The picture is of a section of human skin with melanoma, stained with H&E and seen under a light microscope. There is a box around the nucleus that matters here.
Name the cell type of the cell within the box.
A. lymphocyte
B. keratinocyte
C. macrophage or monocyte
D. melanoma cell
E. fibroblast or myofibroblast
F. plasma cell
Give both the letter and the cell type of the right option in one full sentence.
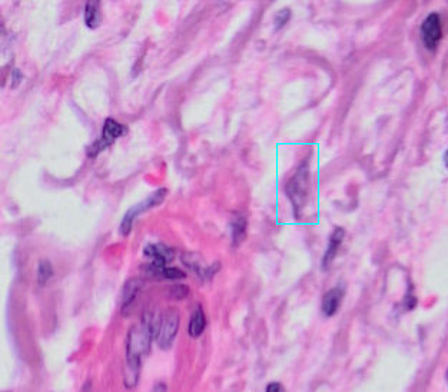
The choice that fits is option E, as the cell within the box is a fibroblast or myofibroblast.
